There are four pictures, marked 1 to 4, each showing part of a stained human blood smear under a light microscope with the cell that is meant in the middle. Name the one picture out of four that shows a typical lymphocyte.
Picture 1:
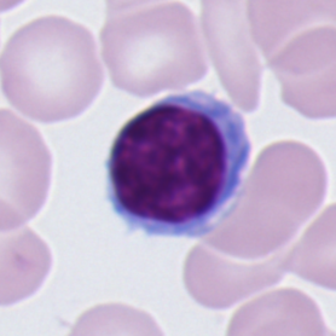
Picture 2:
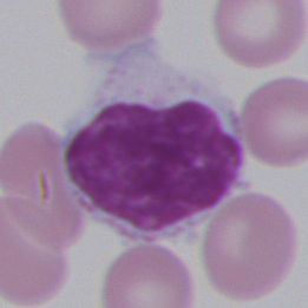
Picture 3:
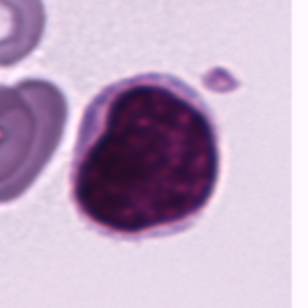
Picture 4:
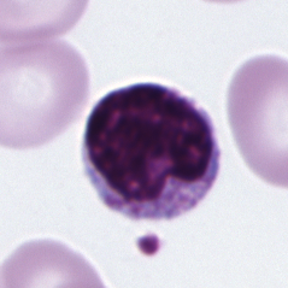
1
